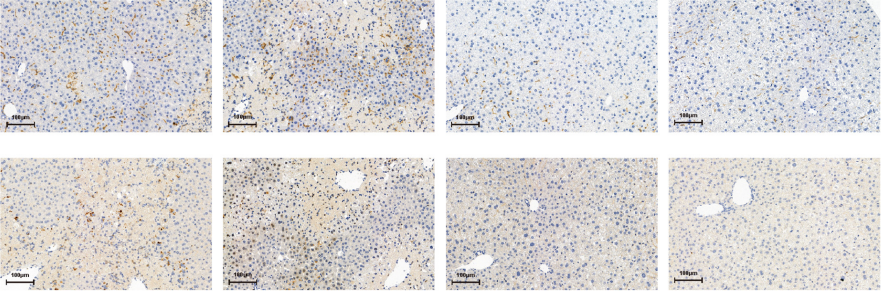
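Eight low-power fields of liver parenchyma in two rows. The tissue is made of closely packed, large polygonal hepatocytes with pale cytoplasm and round blue nuclei, arranged in cords around scattered vessel lumens that appear as white round or irregular spaces. Small brown-stained cells and brown deposits lie between the hepatocyte cords, along the sinusoids. The brown stain is sparse in some fields and dense and patchy in others, where it gathers in clusters. In the densest field many small dark nuclei crowd among the hepatocytes. Elsewhere the parenchyma looks uniform, with few brown cells.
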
